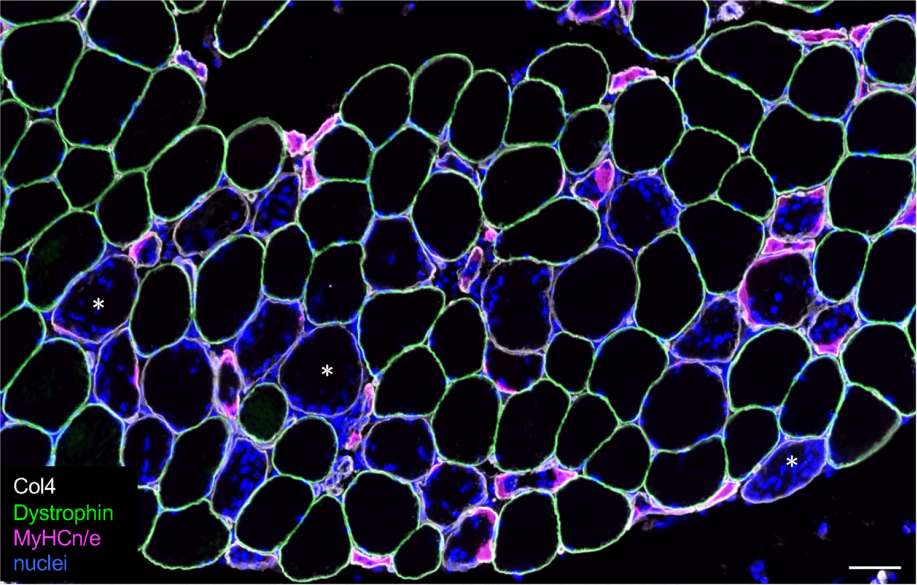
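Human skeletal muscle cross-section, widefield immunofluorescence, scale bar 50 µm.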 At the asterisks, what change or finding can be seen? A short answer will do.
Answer: necrotic myofibres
